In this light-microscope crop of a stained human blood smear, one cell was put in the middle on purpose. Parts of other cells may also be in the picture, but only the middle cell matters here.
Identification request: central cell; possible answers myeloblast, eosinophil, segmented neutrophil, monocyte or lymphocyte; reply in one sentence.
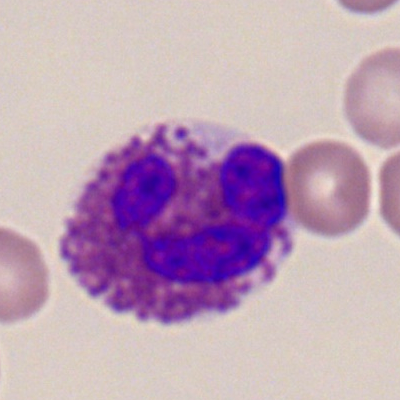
As for the cell in the middle, it is an eosinophil.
